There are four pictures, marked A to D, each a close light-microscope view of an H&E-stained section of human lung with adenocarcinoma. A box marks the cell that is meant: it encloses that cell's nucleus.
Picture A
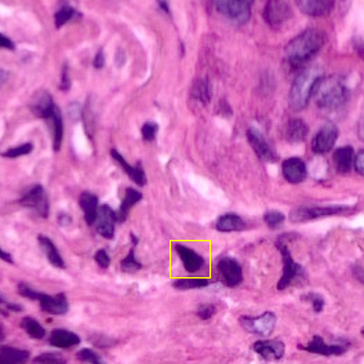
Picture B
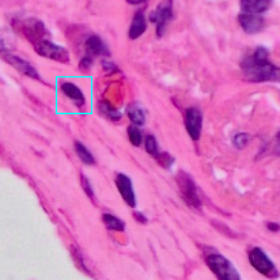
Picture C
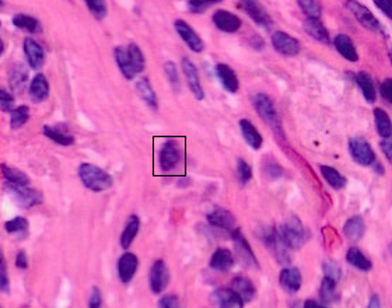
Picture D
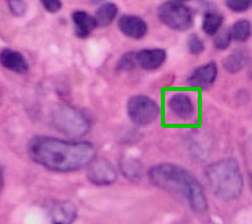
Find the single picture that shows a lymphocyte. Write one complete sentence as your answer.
It is picture D that shows the lymphocyte.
